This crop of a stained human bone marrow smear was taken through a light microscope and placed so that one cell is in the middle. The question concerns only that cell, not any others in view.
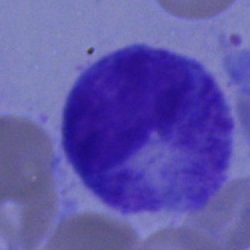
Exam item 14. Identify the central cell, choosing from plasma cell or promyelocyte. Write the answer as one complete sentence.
In the centre of this crop there is a promyelocyte.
